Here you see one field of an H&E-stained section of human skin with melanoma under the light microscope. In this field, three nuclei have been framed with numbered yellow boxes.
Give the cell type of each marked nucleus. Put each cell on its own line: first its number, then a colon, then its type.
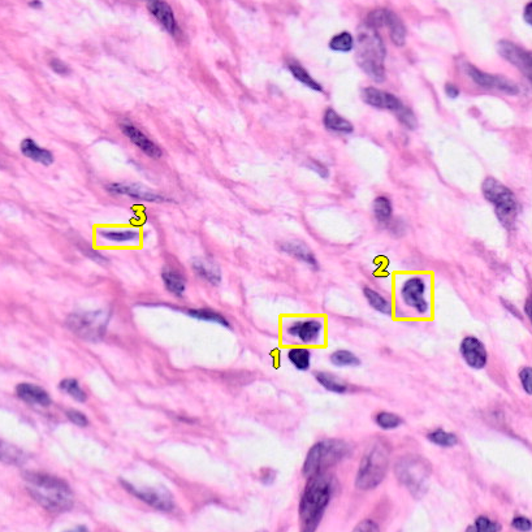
1: lymphocyte
2: lymphocyte
3: fibroblast or myofibroblast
